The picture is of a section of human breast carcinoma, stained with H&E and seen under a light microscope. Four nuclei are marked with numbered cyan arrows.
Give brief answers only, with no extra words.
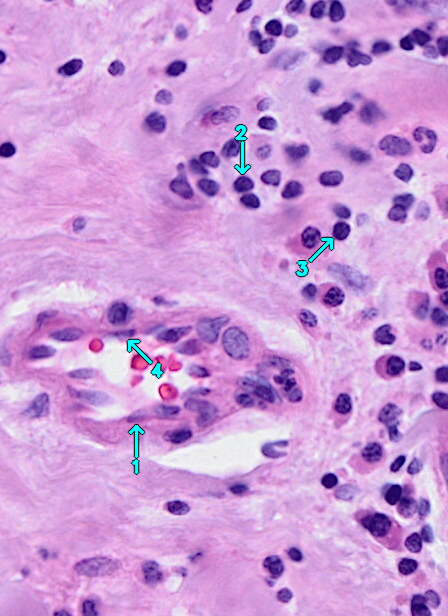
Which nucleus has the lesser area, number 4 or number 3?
4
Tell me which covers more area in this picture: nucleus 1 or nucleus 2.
2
